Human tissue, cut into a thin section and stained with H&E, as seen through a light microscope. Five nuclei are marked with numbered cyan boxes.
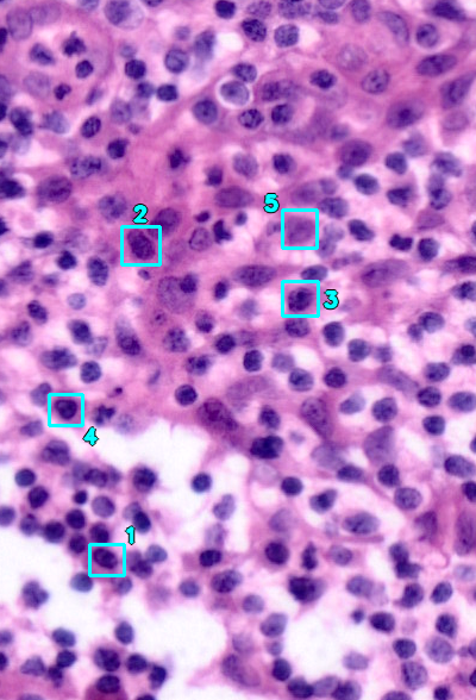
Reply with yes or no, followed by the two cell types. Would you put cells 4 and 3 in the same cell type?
Yes, regarding cells 4 and 3, both are plasma cells.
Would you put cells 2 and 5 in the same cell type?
Yes, it is as squamous epithelial cells that cells 2 and 5 are both classified.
